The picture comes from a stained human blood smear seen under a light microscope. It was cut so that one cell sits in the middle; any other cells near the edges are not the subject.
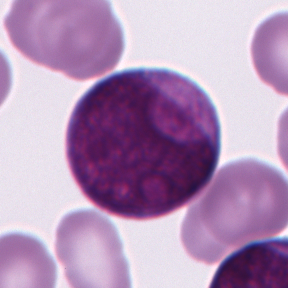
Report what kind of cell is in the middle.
myeloblast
